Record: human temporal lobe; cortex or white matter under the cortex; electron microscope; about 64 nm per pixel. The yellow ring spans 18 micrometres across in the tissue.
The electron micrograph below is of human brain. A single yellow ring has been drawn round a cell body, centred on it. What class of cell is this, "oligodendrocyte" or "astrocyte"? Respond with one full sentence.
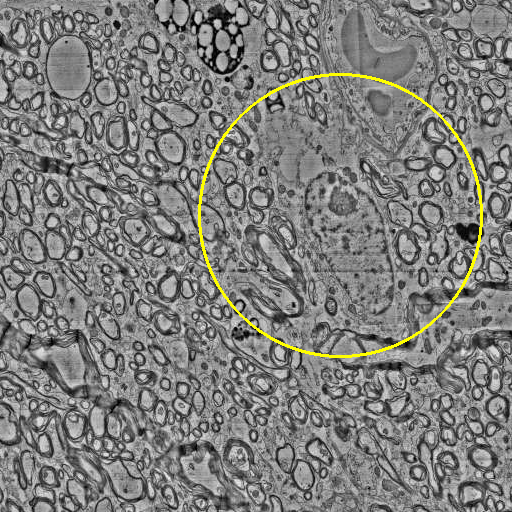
In the micrograph, the cell centred inside the yellow ring is an astrocyte.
